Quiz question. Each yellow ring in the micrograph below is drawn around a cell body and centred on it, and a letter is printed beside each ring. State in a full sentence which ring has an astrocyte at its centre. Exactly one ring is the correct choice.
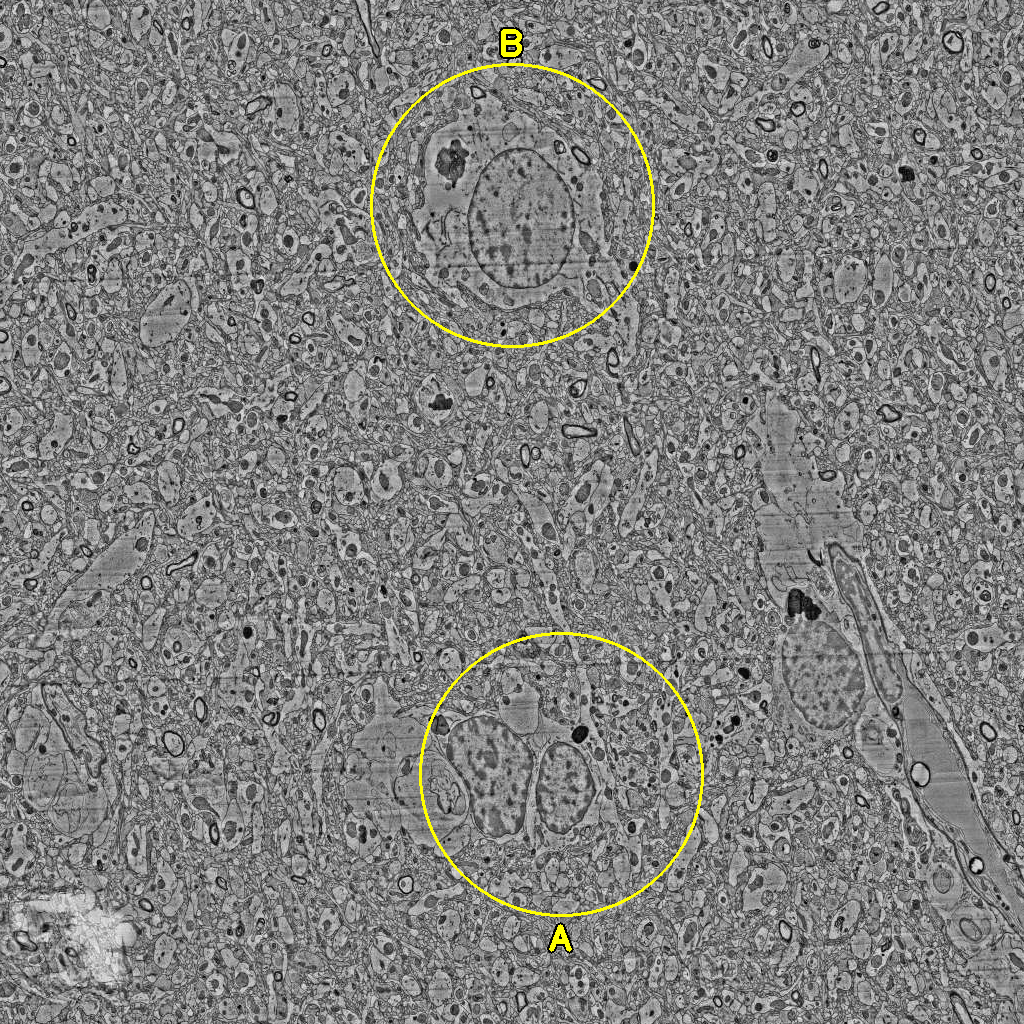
The correct ring is ring B.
